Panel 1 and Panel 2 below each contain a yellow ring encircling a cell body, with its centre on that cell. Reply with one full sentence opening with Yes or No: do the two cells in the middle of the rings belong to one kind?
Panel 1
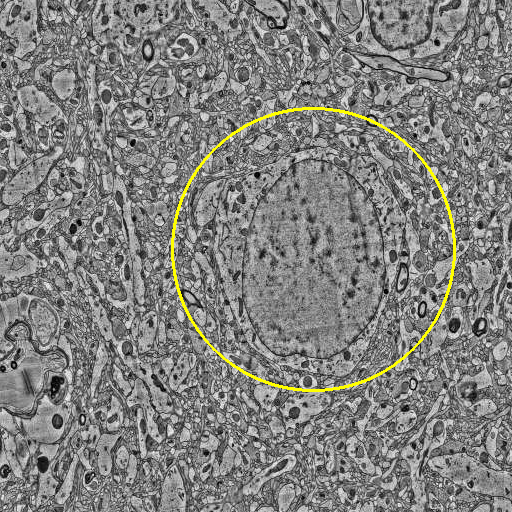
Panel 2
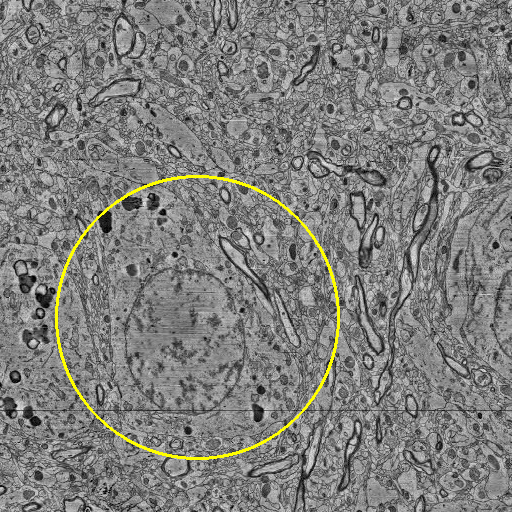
Yes, the cells at the middle of the Panel 1 ring and the Panel 2 ring are of one kind.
